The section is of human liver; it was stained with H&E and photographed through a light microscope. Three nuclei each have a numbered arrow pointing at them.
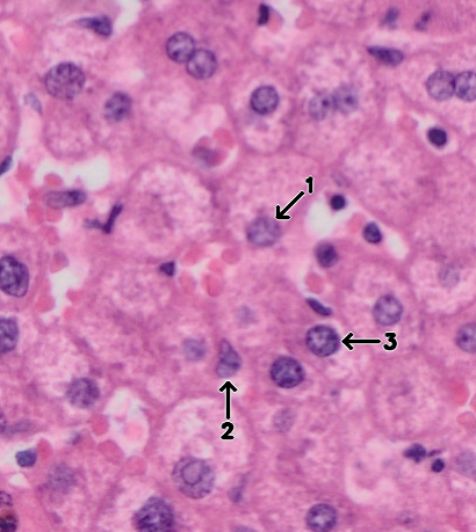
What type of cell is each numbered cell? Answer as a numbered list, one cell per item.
1. hepatocyte
2. Kupffer cell
3. hepatocyte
